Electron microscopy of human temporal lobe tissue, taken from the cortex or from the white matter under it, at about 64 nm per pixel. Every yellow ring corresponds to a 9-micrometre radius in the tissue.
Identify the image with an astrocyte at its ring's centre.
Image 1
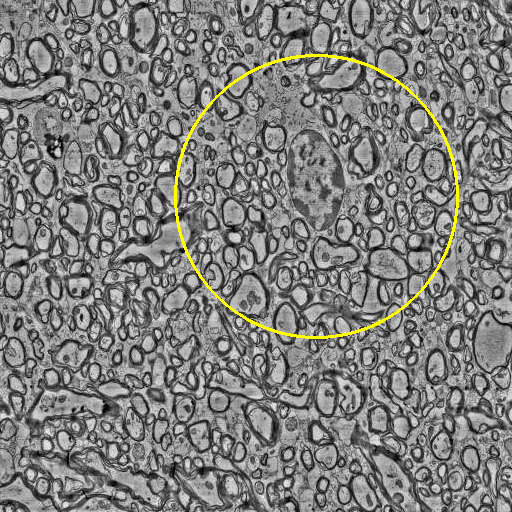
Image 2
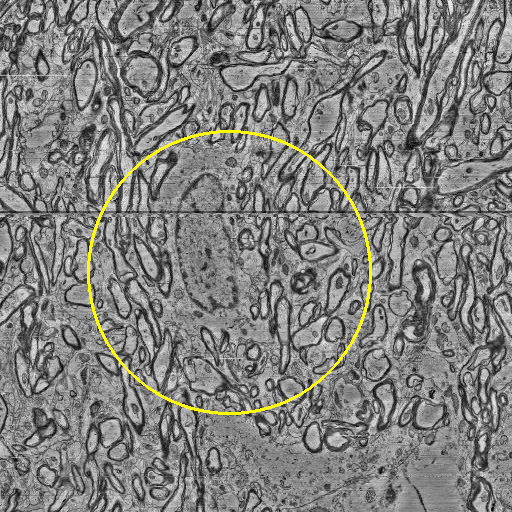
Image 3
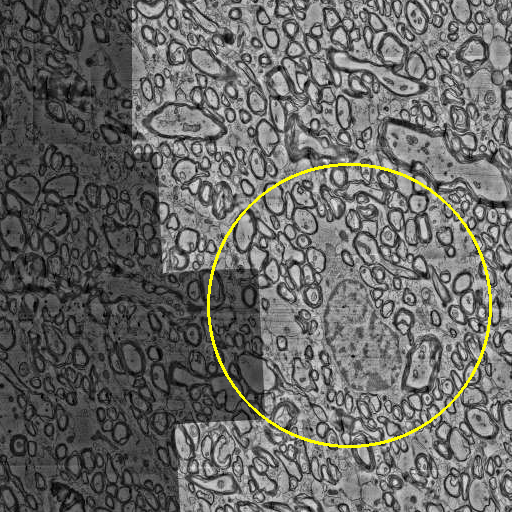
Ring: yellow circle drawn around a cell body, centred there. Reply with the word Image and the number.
Image 2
